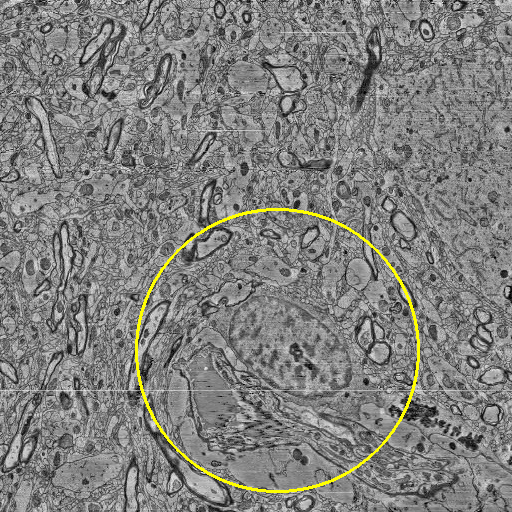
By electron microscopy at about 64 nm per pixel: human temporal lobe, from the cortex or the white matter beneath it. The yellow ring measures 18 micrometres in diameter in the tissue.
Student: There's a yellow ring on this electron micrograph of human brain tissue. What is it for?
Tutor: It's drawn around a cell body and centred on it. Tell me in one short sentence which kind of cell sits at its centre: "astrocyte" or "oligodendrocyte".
The cell at the centre of the ring is an oligodendrocyte.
